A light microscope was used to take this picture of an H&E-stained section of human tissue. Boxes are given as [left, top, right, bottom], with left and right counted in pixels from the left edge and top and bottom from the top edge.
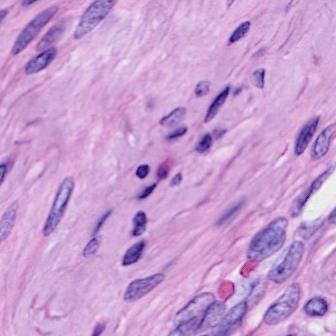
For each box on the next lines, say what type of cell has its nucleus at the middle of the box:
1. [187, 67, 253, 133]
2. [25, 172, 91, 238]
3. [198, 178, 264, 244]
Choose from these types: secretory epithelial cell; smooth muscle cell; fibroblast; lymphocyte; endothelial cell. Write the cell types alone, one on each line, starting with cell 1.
fibroblast
smooth muscle cell
smooth muscle cell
